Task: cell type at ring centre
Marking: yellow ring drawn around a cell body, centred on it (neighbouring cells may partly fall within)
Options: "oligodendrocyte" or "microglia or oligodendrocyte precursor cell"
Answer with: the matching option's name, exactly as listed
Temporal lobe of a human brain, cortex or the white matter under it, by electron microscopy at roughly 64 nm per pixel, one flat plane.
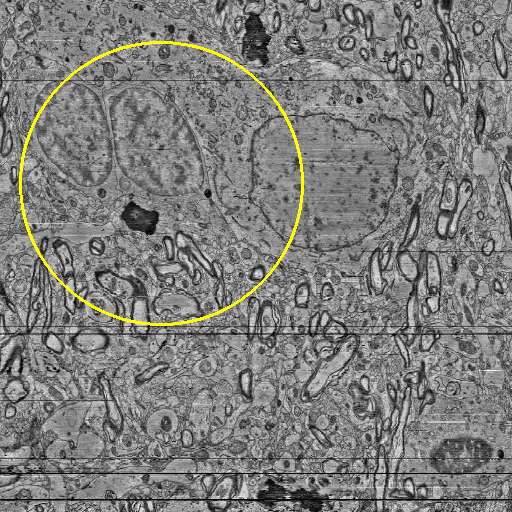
oligodendrocyte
